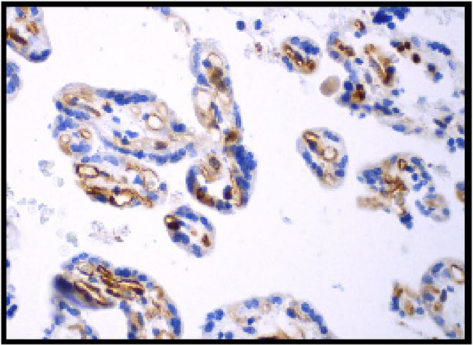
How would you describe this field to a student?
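These are cross-sectioned placental villi floating in the intervillous space. Each villus is bordered by a thin covering layer of trophoblast, whose small dark blue nuclei line the surface and take up little brown colour. Inside the villous cores, small capillaries are outlined by brown staining of the endothelial cells that line them, forming rings and elongated profiles around narrow lumens. The brown is confined largely to these vessel walls, while the surrounding stroma is pale. The villi are small and rounded to elongated, as expected of terminal villi, and the space between them is mostly empty.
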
